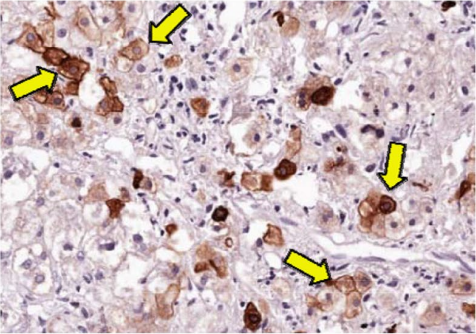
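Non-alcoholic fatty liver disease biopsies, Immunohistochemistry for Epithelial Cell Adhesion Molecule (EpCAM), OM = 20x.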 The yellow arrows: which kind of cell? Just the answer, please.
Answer: Hepatocytes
